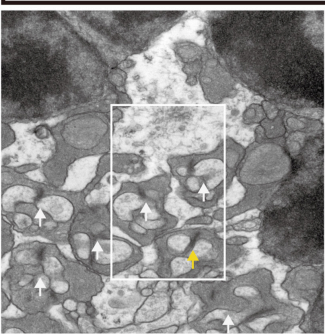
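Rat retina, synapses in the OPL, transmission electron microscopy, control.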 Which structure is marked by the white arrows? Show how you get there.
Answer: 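Each white arrow points into a dark terminal profile holding small pale invaginating processes. Several such profiles share the same arrangement. That points to this answer: triads.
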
